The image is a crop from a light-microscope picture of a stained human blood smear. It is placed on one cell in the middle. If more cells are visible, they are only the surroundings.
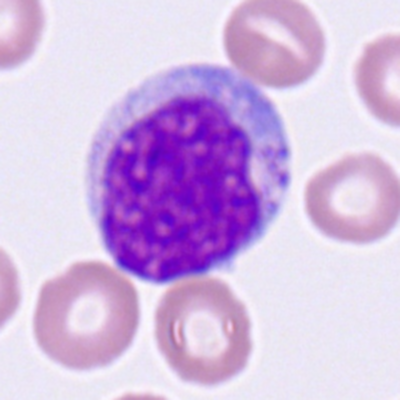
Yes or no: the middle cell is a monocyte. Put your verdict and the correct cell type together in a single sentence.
Yes, the cell right in the middle is a monocyte.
